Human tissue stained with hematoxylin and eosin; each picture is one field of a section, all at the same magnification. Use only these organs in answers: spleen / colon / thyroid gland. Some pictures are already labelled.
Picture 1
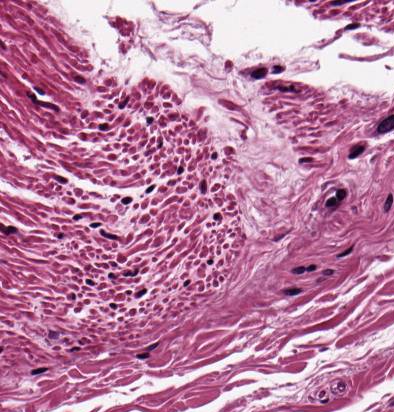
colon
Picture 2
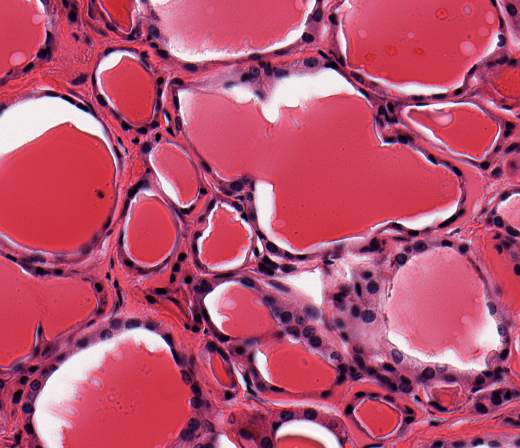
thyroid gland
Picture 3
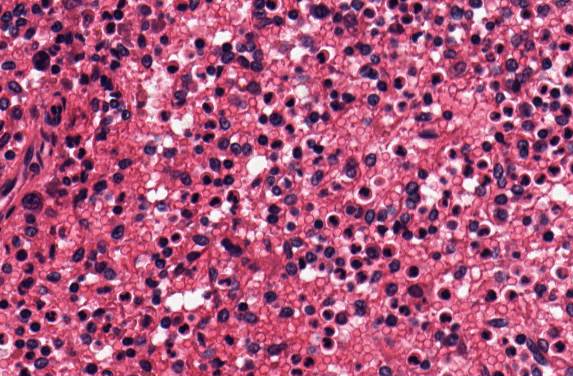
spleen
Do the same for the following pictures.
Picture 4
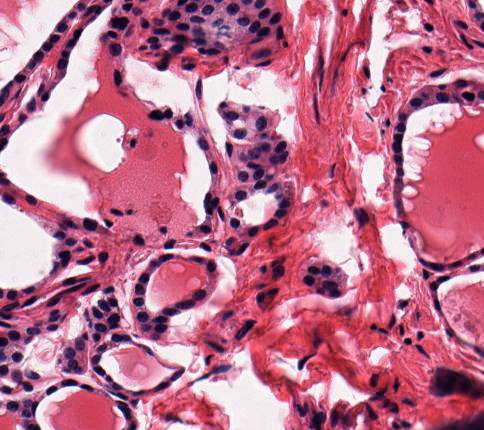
thyroid gland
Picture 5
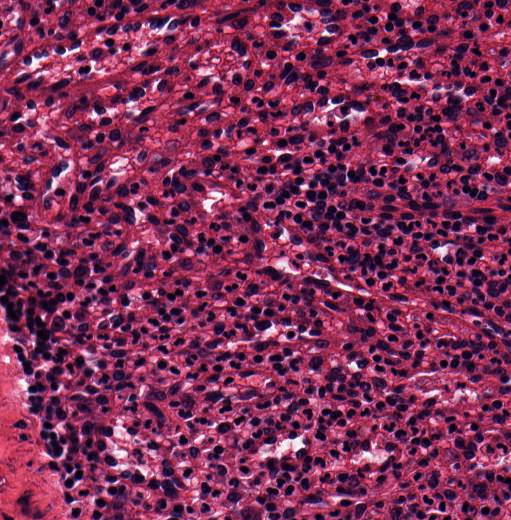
spleen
